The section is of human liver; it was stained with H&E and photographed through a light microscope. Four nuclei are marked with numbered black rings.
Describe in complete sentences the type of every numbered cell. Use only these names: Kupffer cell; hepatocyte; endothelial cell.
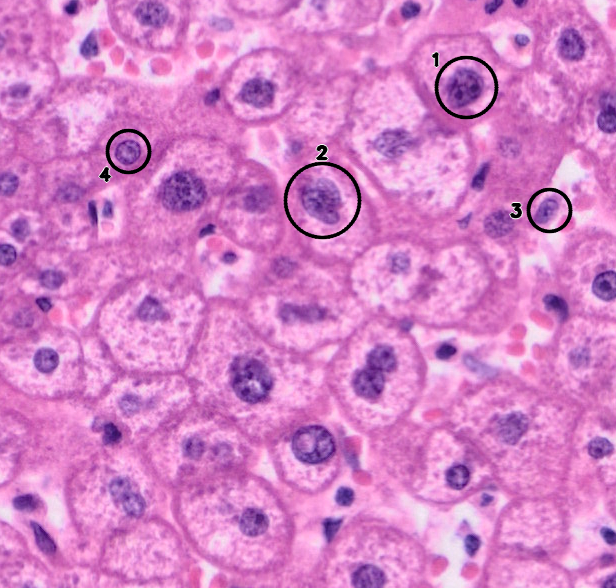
Cell 1 is a hepatocyte, cell 2 is a hepatocyte, cell 3 is a Kupffer cell and cell 4 is a hepatocyte.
